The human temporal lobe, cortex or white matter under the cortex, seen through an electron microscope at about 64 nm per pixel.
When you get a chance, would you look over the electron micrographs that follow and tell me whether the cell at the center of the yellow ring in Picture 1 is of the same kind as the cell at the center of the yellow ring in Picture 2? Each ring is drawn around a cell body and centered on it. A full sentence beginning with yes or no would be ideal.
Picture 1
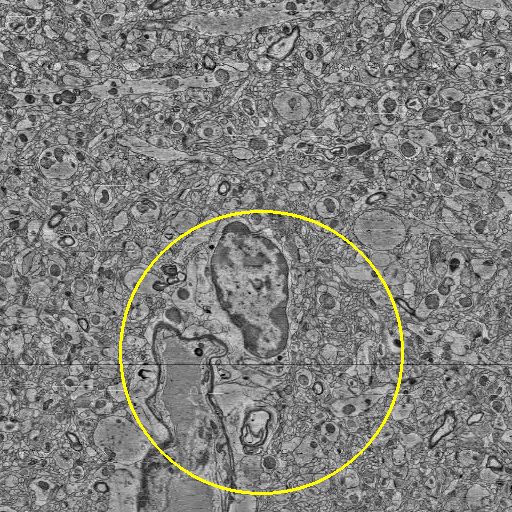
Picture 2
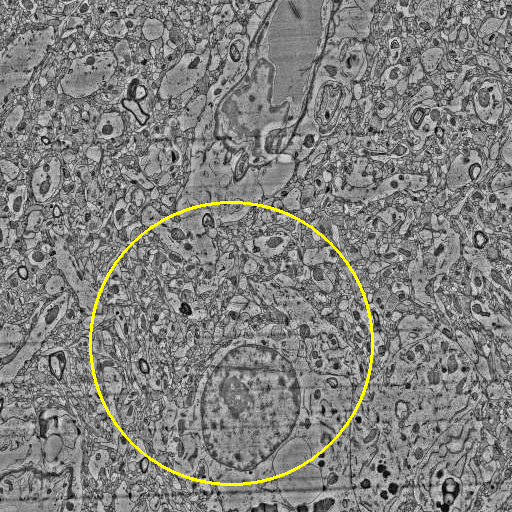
Yes, the two cells are of the same kind.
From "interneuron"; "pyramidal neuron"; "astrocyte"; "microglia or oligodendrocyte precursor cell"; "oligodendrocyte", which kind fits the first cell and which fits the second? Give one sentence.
In each of the two pictures, the ringed cell is a microglial cell or oligodendrocyte precursor cell.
